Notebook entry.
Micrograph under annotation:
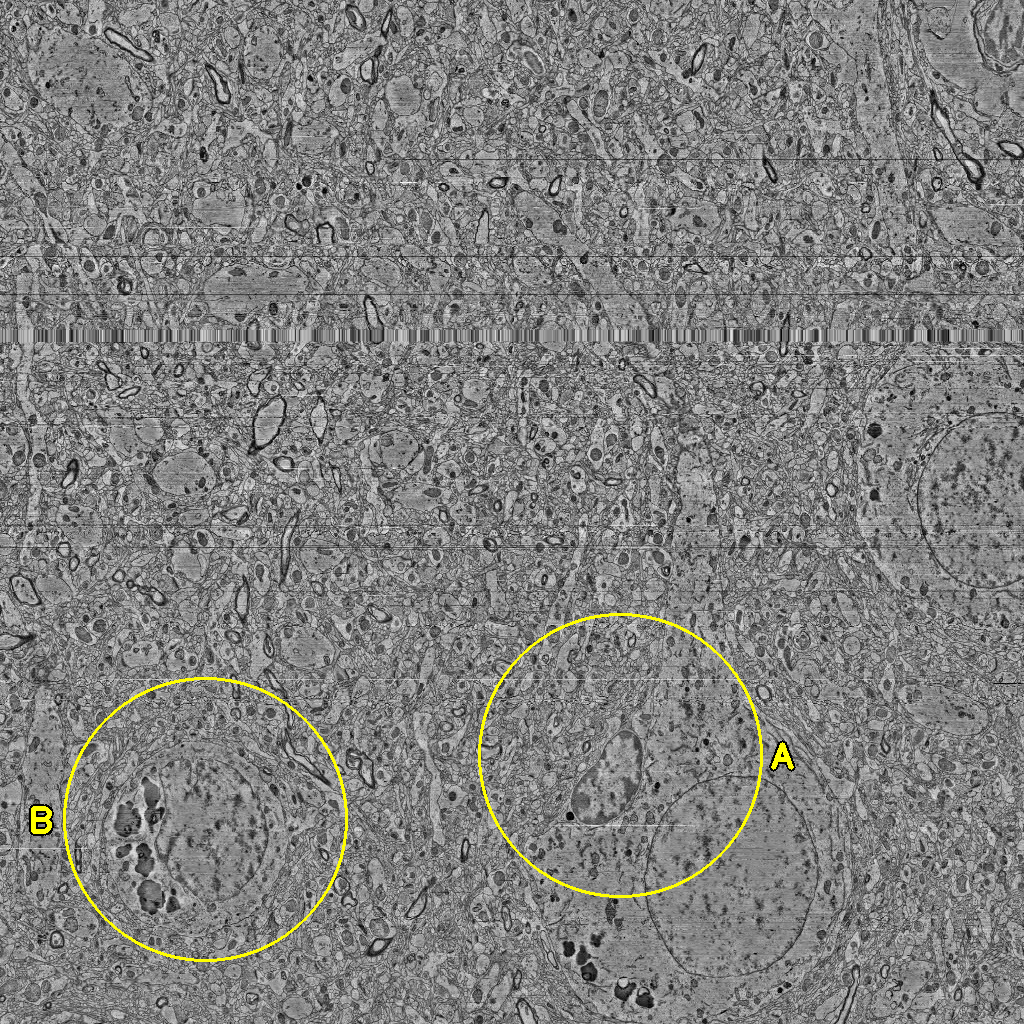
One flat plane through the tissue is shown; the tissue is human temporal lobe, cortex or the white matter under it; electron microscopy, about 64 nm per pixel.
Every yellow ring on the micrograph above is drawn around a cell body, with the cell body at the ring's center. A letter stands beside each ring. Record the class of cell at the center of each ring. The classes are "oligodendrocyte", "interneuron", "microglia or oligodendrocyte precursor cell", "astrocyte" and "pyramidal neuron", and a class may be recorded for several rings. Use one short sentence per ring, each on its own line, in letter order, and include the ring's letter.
Ring A is centered on a microglial cell or oligodendrocyte precursor cell.
Ring B is centered on an interneuron.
